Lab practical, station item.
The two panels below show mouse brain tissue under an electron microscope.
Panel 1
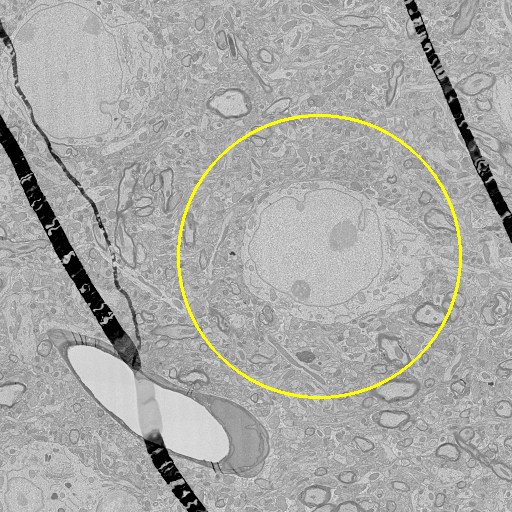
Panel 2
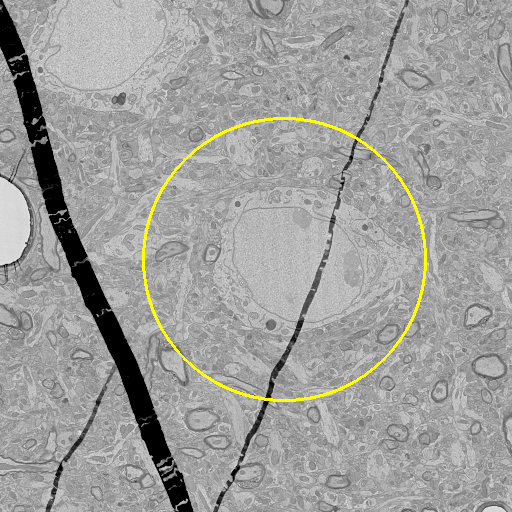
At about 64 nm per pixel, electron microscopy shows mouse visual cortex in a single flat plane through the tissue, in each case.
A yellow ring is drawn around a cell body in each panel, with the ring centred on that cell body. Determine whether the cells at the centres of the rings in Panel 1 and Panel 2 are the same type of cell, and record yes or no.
yes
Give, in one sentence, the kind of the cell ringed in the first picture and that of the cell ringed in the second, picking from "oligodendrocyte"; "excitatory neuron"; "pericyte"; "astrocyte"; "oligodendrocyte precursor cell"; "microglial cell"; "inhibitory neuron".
The first and the second cell are each an excitatory neuron.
